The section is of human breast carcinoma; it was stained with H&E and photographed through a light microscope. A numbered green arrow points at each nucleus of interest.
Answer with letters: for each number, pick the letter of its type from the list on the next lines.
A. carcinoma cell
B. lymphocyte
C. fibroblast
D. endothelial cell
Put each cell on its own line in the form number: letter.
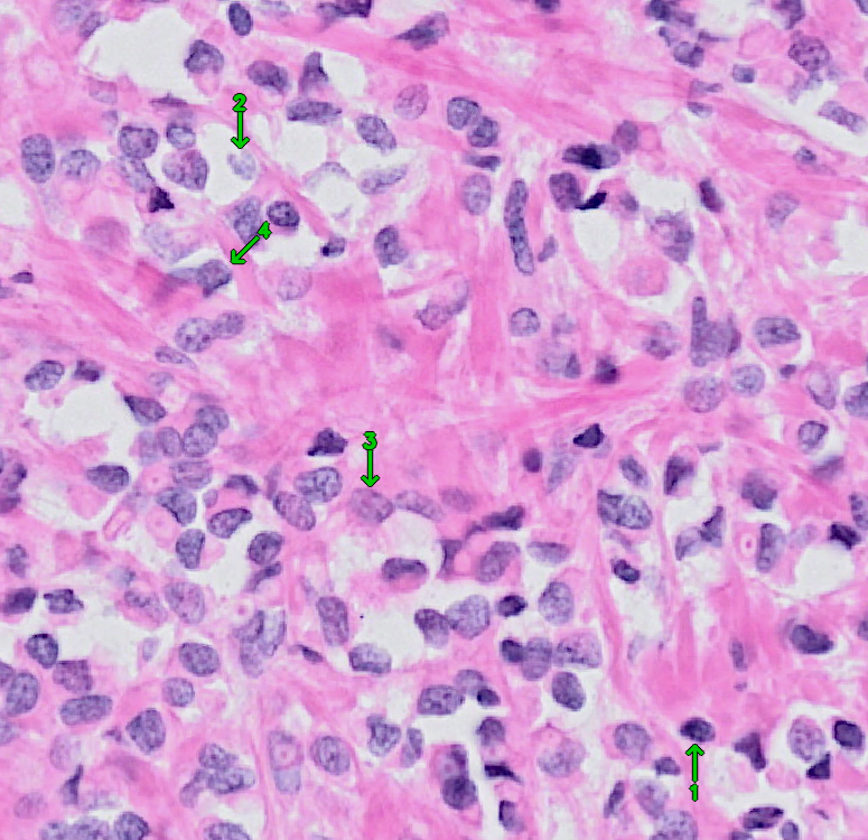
1: B
2: A
3: A
4: A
